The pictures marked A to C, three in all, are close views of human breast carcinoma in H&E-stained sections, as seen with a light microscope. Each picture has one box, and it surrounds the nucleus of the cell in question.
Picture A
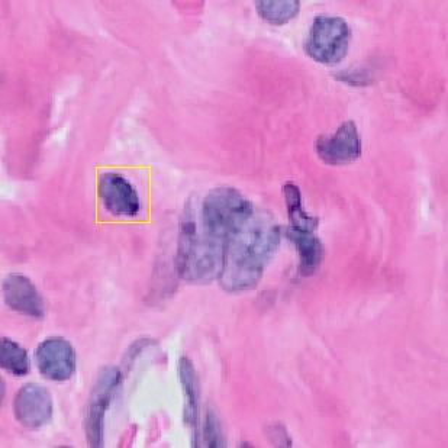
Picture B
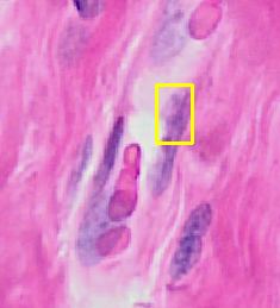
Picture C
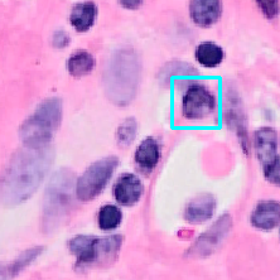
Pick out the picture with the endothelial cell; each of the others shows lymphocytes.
B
